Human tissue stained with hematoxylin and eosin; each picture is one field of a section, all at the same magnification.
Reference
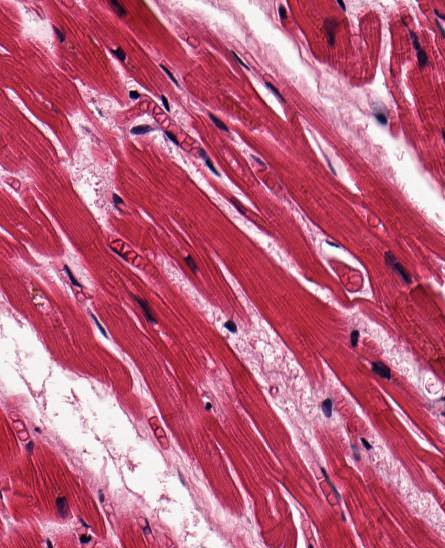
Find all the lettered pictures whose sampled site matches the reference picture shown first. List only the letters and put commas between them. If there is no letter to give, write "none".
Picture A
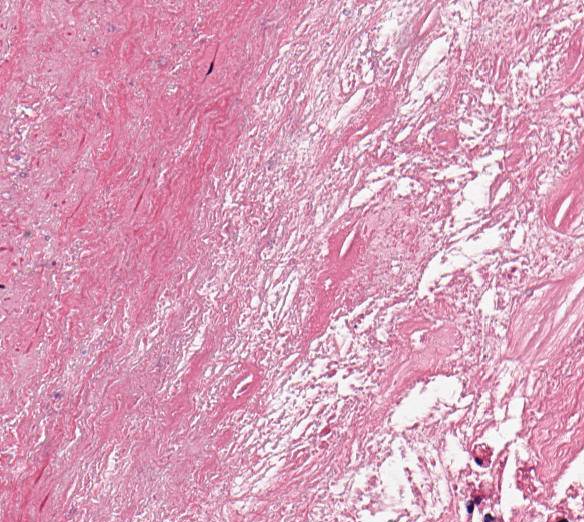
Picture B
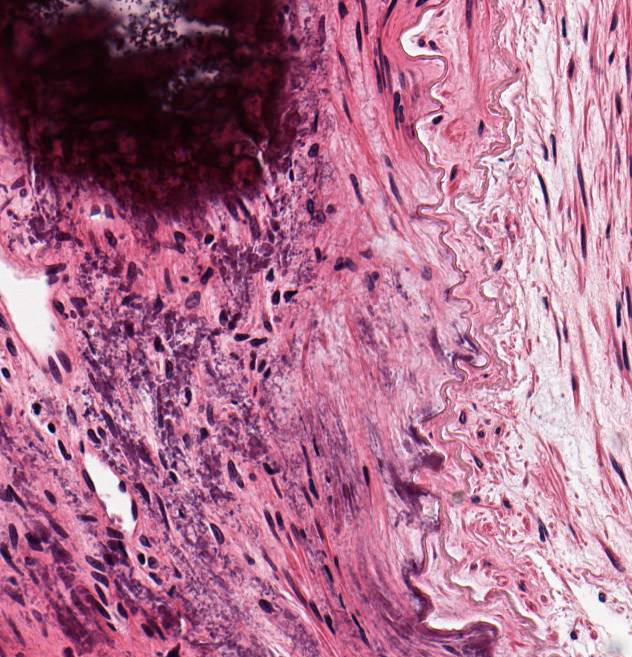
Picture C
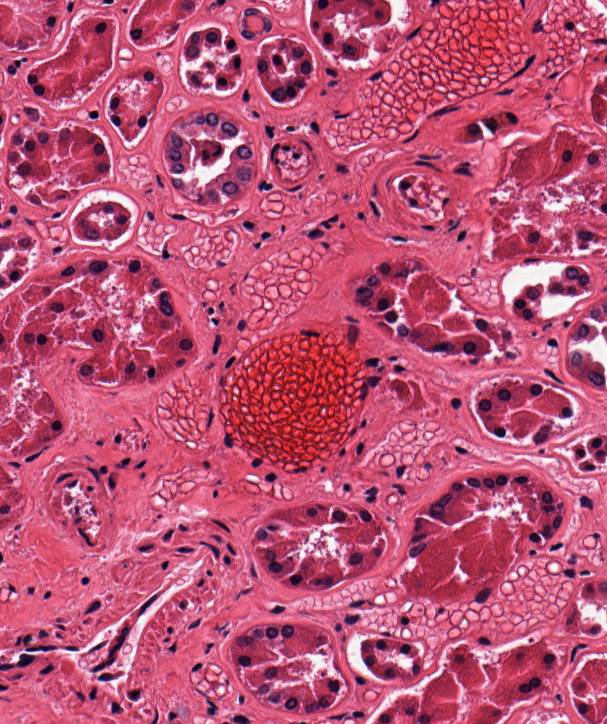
none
